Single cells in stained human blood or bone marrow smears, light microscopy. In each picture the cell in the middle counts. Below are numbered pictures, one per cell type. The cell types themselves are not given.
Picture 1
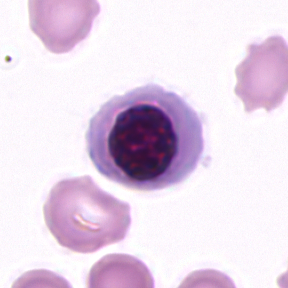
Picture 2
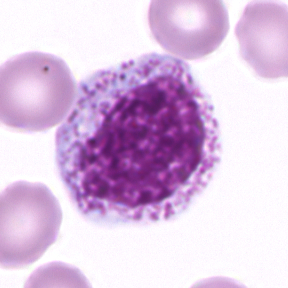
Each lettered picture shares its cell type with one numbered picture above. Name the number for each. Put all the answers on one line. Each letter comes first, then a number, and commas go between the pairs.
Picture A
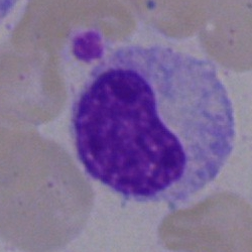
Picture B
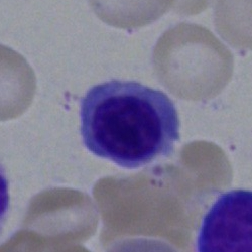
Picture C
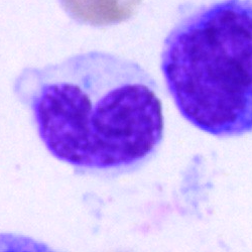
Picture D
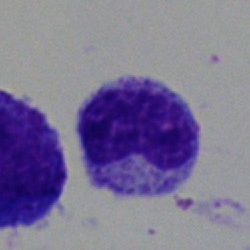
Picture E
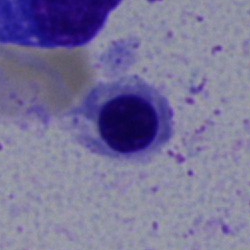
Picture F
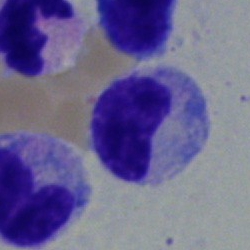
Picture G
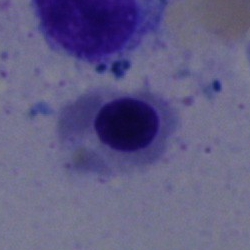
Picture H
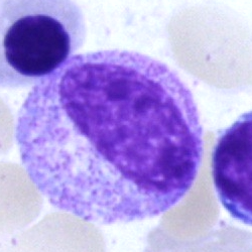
A 2, B 1, C 2, D 2, E 1, F 2, G 1, H 2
